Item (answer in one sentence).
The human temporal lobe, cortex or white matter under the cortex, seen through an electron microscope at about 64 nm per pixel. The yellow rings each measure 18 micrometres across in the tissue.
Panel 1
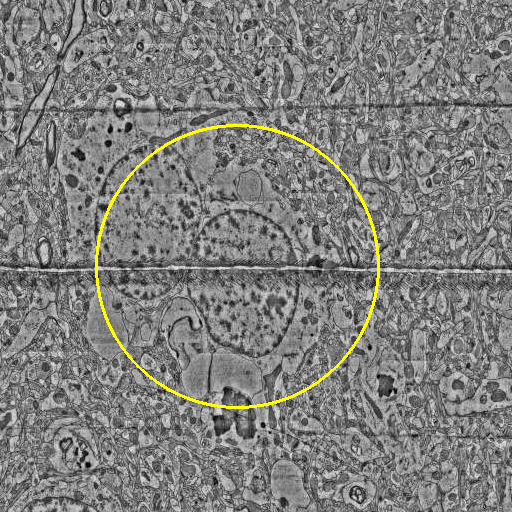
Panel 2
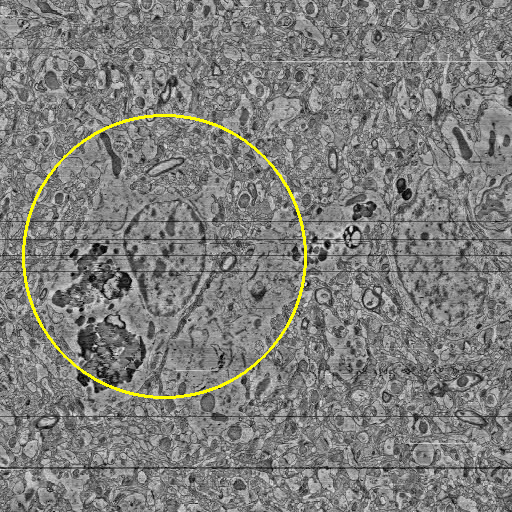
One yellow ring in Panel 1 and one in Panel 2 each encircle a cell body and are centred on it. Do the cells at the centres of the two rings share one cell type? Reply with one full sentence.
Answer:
Yes, Panel 1 and Panel 2 show cells of one type at the centres of their rings.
